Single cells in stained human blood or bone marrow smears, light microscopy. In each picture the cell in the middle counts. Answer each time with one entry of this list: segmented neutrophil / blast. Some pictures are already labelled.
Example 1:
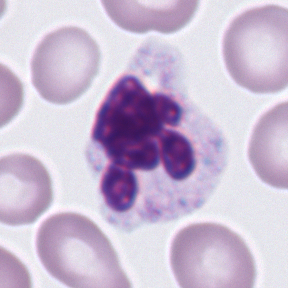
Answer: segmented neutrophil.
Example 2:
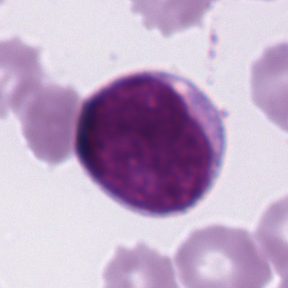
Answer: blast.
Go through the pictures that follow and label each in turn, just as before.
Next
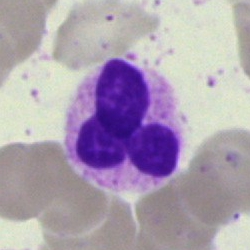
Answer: segmented neutrophil.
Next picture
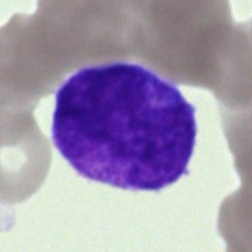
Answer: blast.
